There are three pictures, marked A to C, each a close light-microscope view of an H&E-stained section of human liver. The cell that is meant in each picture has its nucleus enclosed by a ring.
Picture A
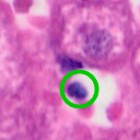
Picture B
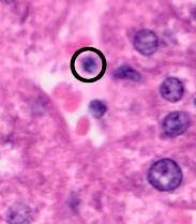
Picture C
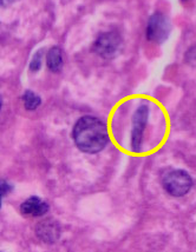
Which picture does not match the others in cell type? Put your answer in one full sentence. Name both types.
All pictures except C show lymphocytes; picture C shows a Kupffer cell.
